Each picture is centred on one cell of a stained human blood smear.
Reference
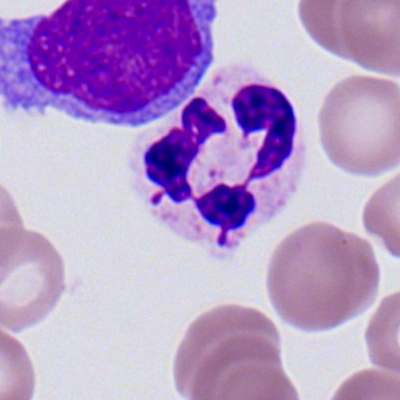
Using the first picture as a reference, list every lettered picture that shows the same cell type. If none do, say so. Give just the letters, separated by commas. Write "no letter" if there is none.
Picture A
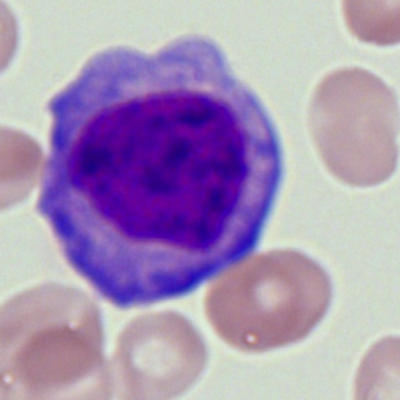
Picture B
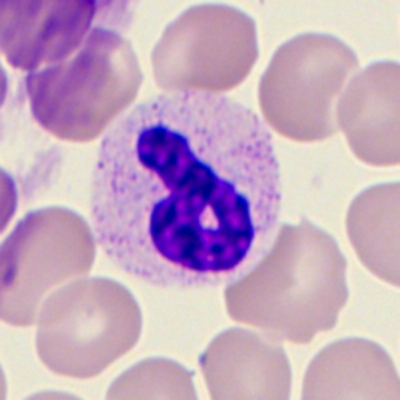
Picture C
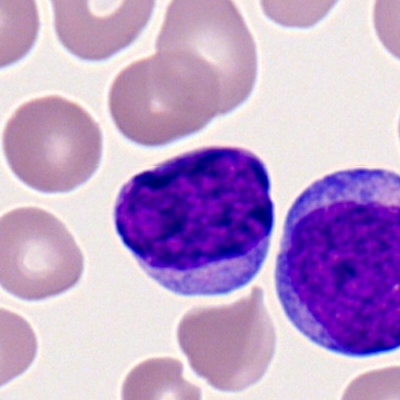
B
